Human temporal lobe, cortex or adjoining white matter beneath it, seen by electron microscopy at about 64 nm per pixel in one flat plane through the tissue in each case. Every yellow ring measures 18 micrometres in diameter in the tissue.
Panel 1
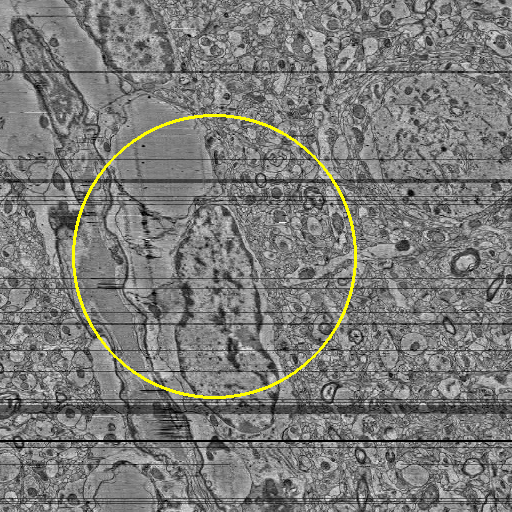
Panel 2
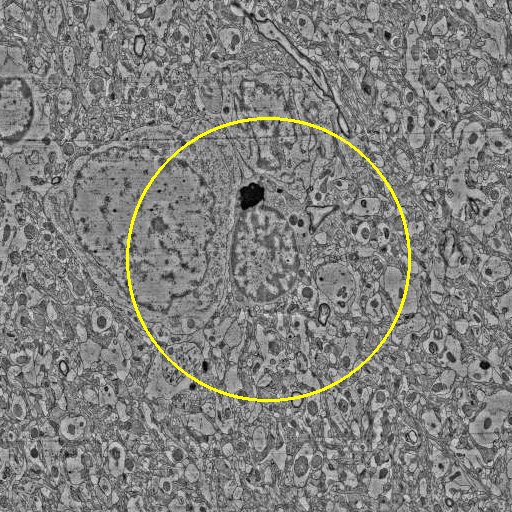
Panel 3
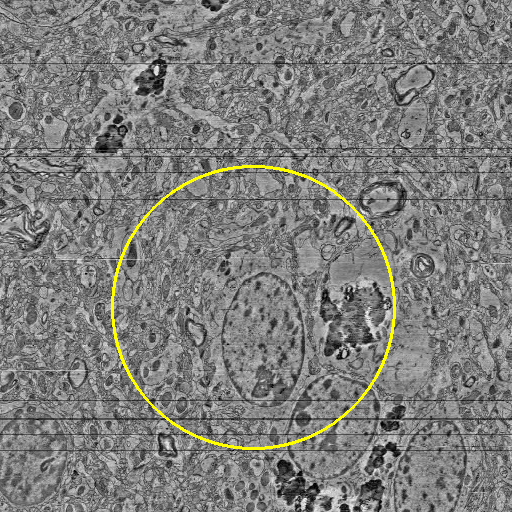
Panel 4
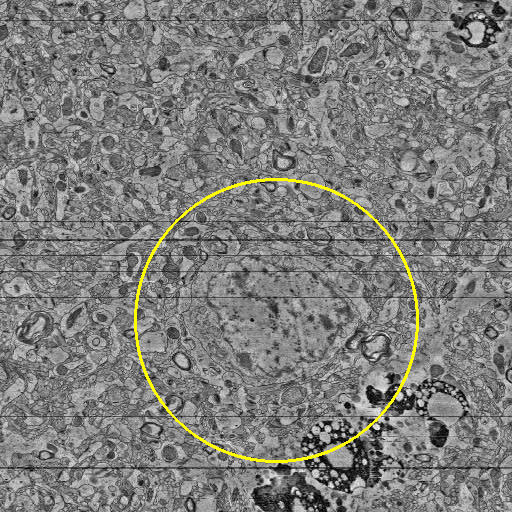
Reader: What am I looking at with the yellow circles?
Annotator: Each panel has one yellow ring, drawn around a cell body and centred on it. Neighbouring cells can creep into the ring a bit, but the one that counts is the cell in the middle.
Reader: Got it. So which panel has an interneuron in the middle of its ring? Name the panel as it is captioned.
Panel 4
